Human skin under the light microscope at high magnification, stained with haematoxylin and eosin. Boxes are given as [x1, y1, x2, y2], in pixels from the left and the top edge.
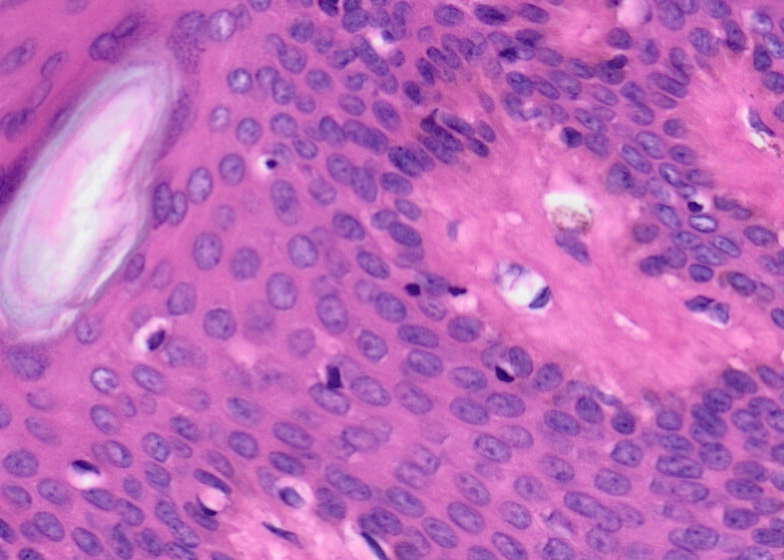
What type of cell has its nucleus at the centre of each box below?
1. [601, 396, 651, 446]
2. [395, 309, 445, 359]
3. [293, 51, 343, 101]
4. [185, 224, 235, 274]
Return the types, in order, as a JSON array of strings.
["basal keratinocyte", "suprabasal keratinocyte", "suprabasal keratinocyte", "suprabasal keratinocyte"]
